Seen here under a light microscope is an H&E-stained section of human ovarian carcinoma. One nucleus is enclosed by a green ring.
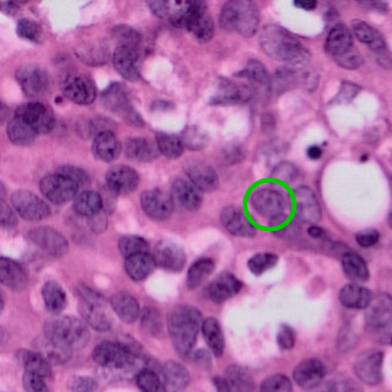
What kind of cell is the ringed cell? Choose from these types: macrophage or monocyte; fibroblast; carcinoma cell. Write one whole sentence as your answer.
The ringed cell is a carcinoma cell.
